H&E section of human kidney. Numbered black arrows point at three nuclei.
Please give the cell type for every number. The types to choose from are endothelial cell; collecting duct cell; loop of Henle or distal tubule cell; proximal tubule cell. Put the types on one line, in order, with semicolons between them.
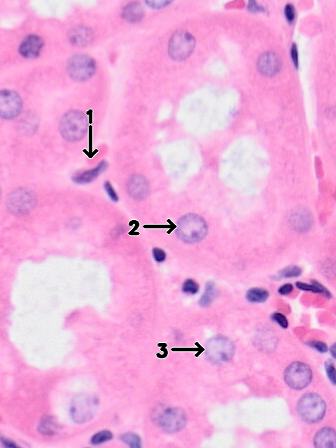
endothelial cell; proximal tubule cell; proximal tubule cell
